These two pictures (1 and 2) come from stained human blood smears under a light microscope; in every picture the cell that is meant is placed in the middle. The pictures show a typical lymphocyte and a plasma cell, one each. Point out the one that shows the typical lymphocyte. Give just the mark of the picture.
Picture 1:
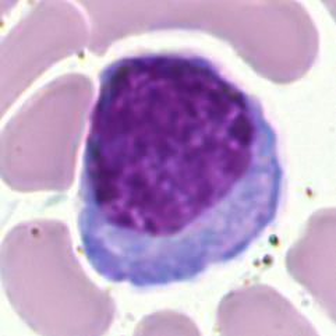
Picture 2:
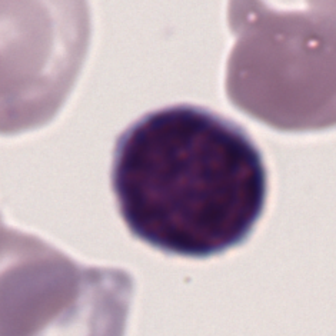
2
